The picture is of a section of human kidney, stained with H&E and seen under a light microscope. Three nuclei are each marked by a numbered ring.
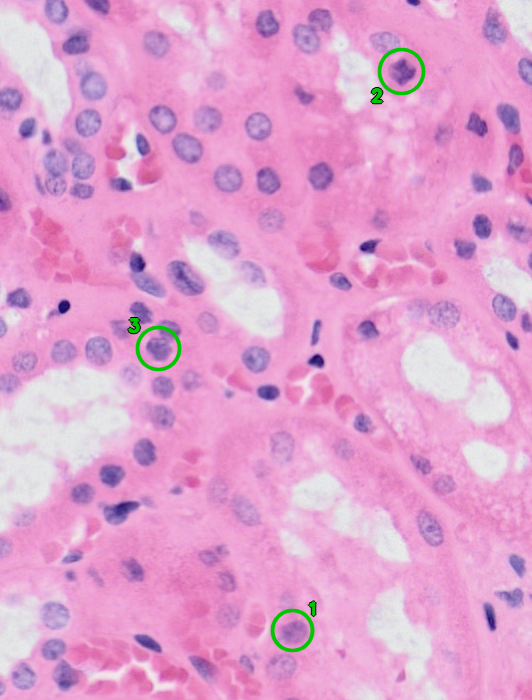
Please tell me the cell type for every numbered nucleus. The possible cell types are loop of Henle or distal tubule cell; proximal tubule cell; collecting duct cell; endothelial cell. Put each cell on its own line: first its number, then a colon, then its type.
1: proximal tubule cell
2: proximal tubule cell
3: loop of Henle or distal tubule cell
